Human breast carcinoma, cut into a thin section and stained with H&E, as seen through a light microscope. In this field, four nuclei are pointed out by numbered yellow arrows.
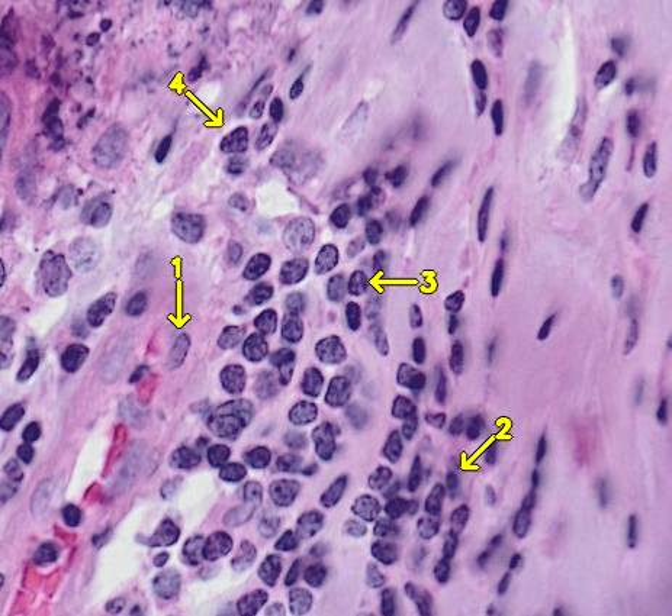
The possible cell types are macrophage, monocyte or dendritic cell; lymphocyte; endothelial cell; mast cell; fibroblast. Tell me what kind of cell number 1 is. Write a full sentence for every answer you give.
Looking at the numbered marks, cell 1 is an endothelial cell.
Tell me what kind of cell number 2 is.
Cell 2 should be recorded as a lymphocyte.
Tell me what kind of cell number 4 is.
It is as a lymphocyte that the cell numbered 4 is identified.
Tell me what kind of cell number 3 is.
The numbered cell 3 in this field is a lymphocyte.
